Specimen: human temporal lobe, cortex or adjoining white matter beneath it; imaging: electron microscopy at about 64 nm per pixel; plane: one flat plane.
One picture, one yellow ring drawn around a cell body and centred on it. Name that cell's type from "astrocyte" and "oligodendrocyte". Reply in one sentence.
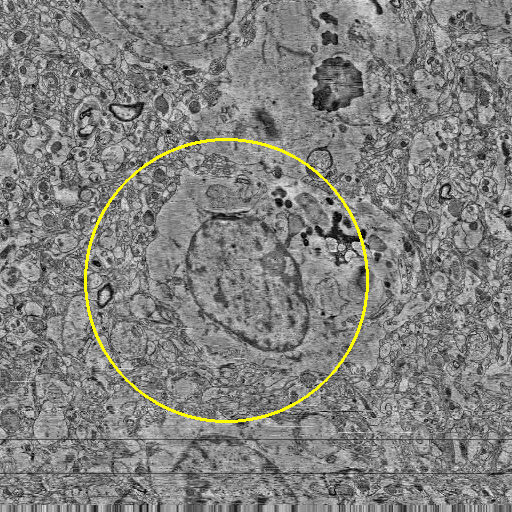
Centred in the ring is an astrocyte.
